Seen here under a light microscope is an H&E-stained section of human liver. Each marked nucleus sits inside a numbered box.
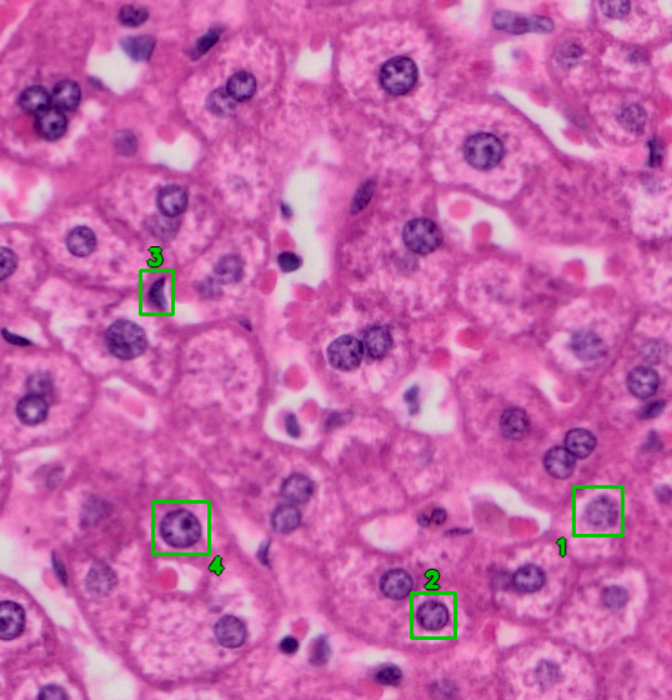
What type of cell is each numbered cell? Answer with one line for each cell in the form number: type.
1: hepatocyte
2: hepatocyte
3: endothelial cell
4: hepatocyte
